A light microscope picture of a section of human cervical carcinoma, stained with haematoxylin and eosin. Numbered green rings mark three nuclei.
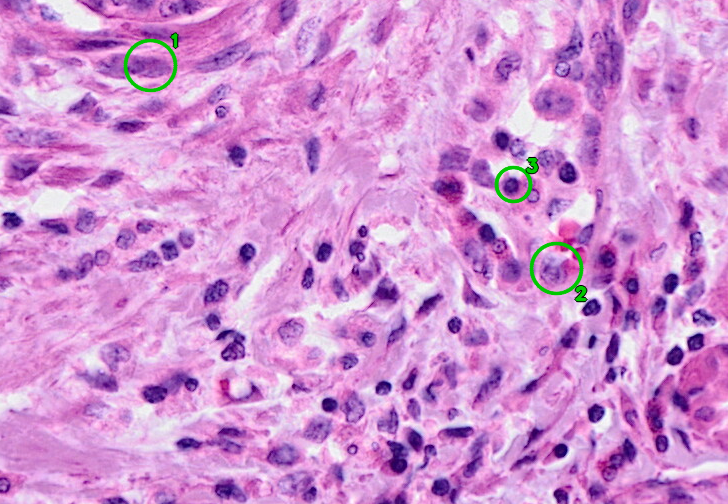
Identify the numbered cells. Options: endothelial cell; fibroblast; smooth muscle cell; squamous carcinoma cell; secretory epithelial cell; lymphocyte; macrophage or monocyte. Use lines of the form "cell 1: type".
cell 1: fibroblast
cell 2: endothelial cell
cell 3: lymphocyte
